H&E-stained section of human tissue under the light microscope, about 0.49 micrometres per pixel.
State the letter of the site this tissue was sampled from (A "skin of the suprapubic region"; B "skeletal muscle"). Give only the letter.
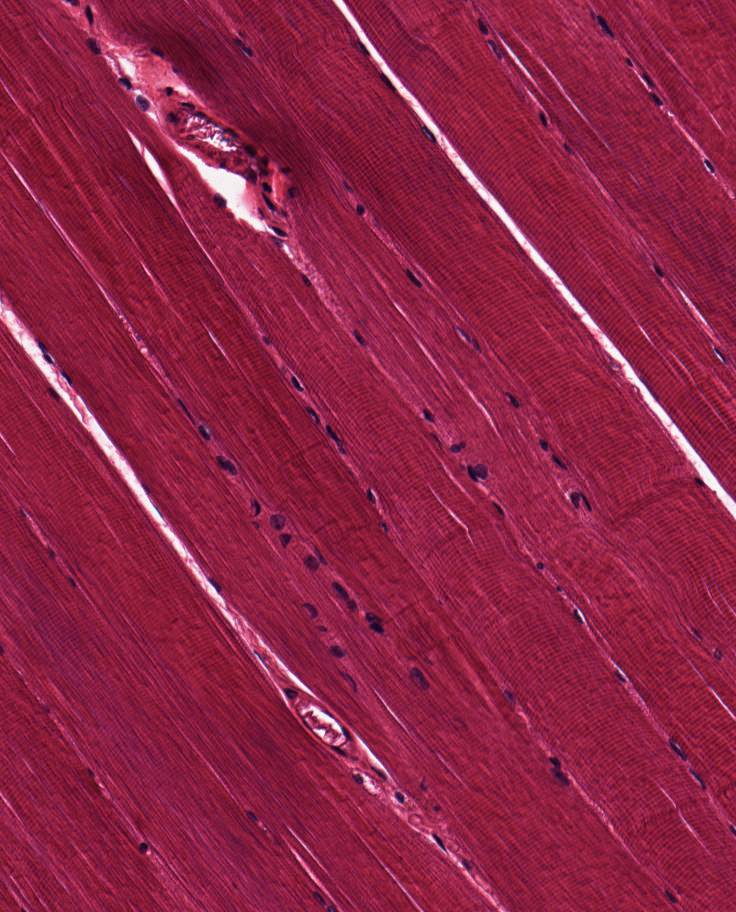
B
